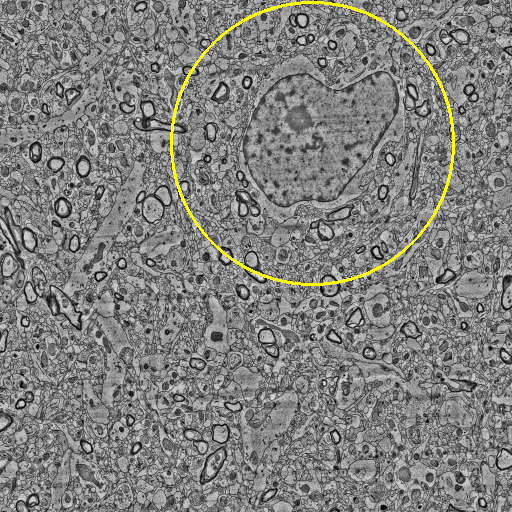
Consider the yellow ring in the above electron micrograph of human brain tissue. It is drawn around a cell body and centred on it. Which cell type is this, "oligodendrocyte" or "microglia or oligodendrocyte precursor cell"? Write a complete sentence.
The cell in question is a microglial cell or oligodendrocyte precursor cell.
